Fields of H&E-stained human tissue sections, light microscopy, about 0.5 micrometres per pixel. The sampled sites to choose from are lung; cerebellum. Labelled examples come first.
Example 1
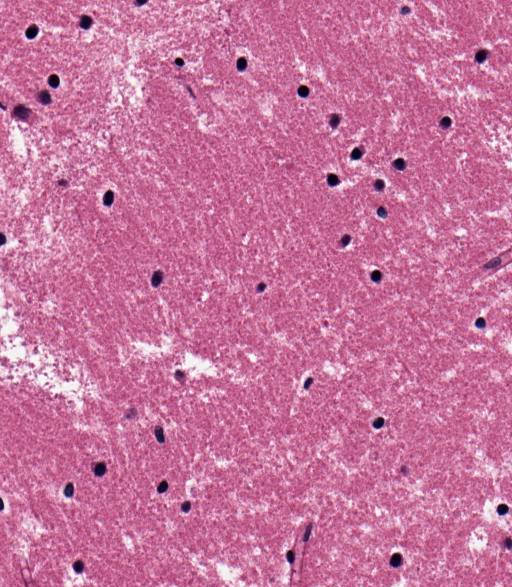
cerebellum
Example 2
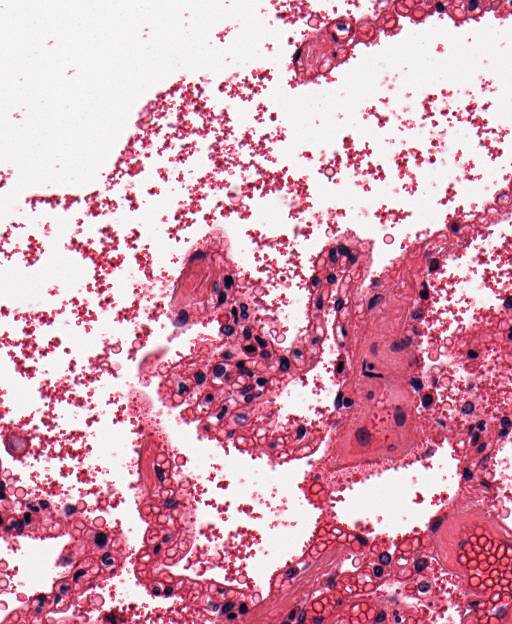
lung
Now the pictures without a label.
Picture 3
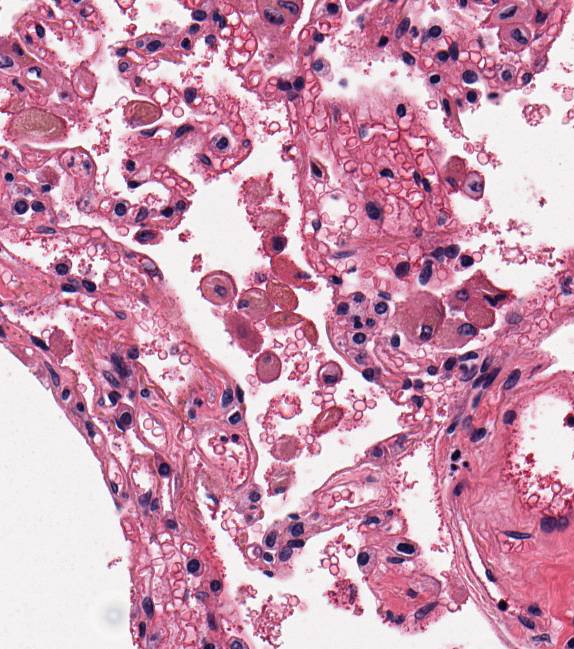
lung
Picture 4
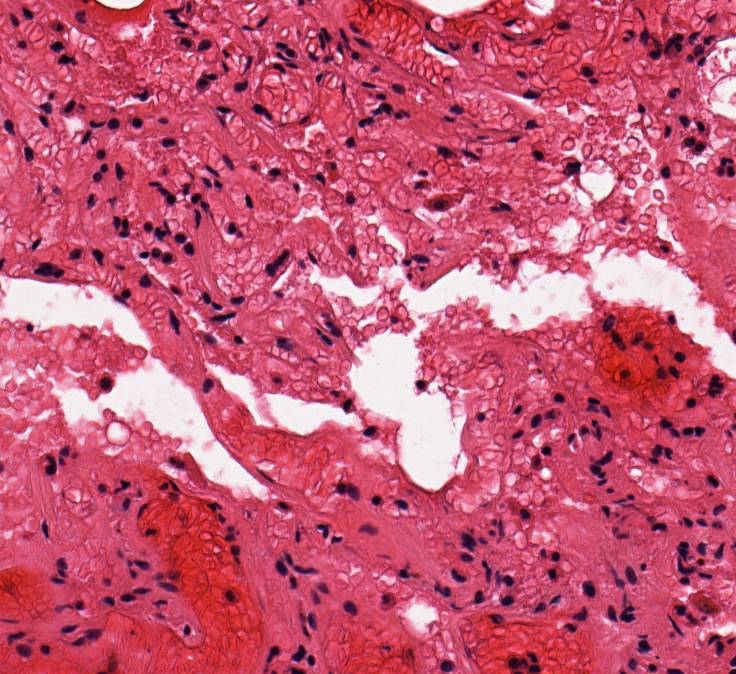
lung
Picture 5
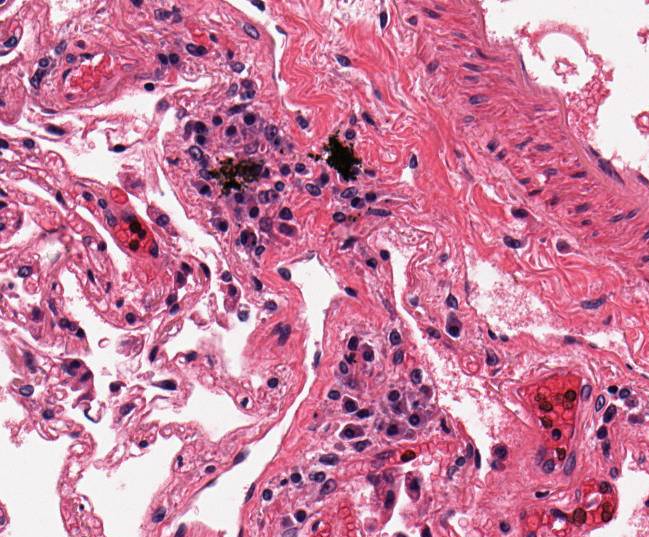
lung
